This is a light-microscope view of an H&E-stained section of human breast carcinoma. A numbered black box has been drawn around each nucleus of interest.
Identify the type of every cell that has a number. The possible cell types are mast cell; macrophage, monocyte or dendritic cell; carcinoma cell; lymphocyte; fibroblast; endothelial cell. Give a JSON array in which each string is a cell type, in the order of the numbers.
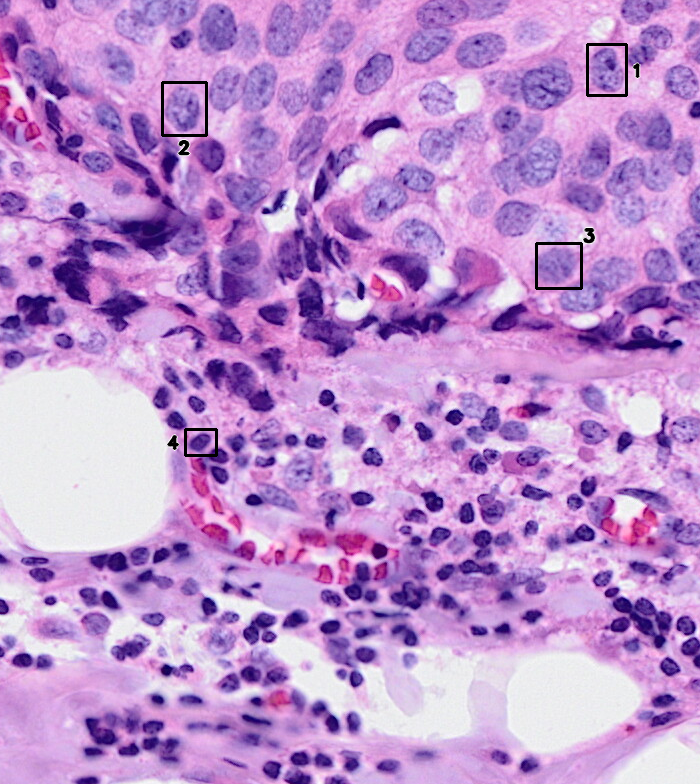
["carcinoma cell", "carcinoma cell", "carcinoma cell", "lymphocyte"]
